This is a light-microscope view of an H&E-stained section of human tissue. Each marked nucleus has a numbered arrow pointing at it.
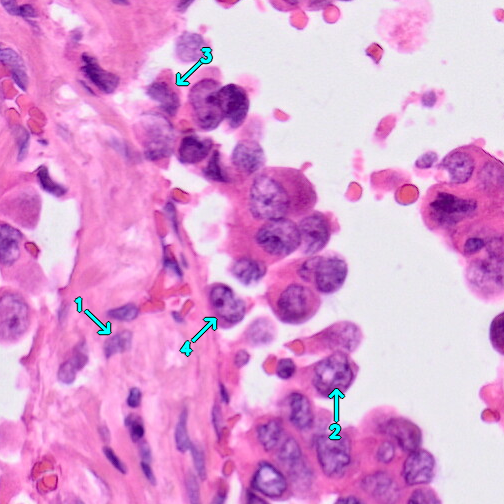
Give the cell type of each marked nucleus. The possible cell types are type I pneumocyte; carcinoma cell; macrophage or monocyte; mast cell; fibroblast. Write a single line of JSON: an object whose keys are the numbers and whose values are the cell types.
{"1": "fibroblast", "2": "carcinoma cell", "3": "carcinoma cell", "4": "carcinoma cell"}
